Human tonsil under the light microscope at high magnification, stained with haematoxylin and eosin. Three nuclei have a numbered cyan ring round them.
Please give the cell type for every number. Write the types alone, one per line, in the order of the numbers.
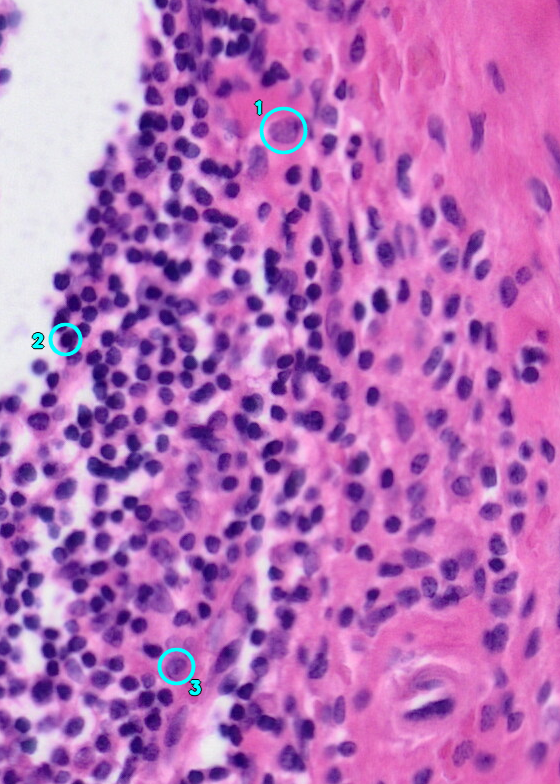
endothelial cell
small lymphocyte
endothelial cell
